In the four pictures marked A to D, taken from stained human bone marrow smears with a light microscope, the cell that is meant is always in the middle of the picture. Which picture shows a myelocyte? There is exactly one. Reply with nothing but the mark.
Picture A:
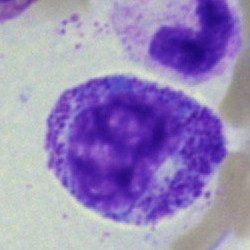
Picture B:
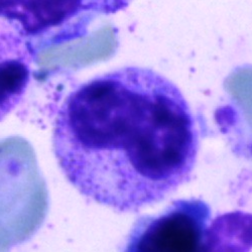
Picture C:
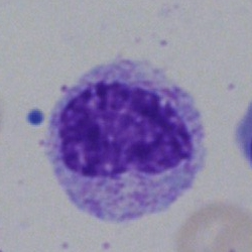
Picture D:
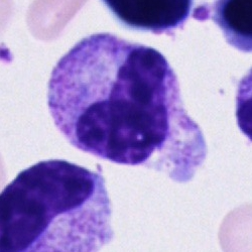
A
